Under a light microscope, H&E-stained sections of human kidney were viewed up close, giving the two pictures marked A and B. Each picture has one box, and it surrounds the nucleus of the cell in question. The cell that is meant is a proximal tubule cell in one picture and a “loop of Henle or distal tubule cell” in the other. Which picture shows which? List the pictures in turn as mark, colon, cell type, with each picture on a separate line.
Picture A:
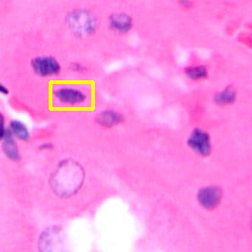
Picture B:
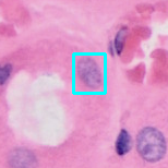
A: loop of Henle or distal tubule cell
B: proximal tubule cell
